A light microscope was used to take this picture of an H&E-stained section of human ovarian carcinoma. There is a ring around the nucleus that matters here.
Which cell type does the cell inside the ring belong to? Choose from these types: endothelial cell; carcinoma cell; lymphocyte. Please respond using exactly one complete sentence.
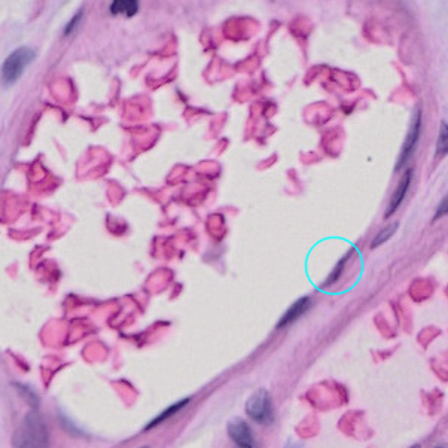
It is as an endothelial cell that the cell inside the ring is classified.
